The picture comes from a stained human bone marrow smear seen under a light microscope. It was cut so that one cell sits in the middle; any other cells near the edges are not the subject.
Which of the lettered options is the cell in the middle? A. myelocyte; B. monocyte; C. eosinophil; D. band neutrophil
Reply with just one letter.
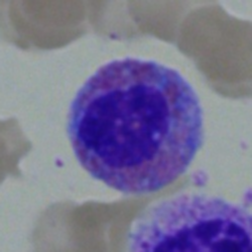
C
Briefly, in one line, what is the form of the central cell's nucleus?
Key feature: a single compact nucleus, round, oval or kidney-shaped.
